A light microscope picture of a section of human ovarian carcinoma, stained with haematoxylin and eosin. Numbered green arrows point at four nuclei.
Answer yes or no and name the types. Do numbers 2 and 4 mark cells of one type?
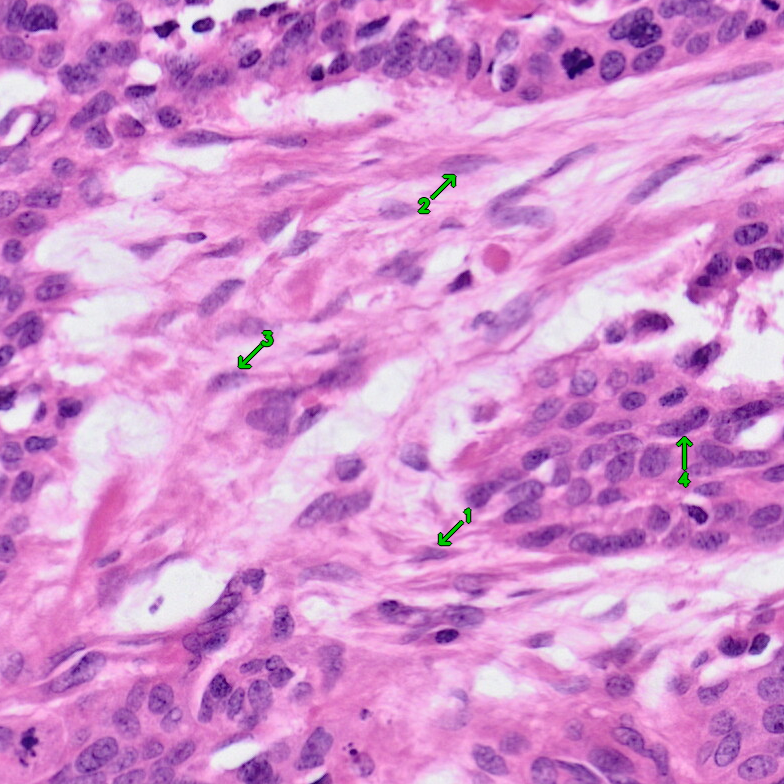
No, cell 2 is a fibroblast and cell 4 is a carcinoma cell.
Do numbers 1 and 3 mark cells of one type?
Yes, both are fibroblasts.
